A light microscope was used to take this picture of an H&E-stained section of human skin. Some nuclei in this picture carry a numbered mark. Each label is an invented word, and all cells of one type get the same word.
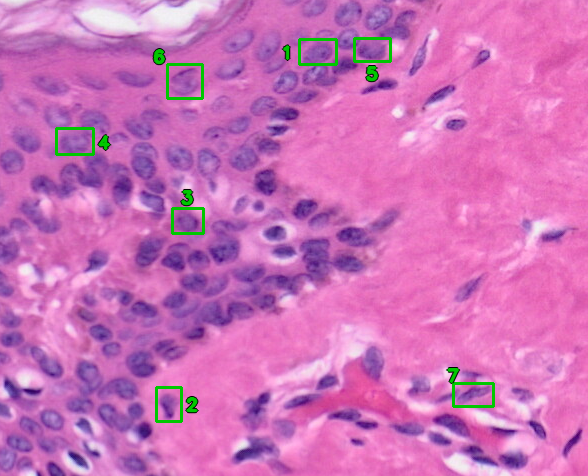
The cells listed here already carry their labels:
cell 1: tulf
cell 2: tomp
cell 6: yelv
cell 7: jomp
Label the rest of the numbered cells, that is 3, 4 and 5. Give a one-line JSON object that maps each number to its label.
{"3": "tulf", "4": "yelv", "5": "tulf"}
